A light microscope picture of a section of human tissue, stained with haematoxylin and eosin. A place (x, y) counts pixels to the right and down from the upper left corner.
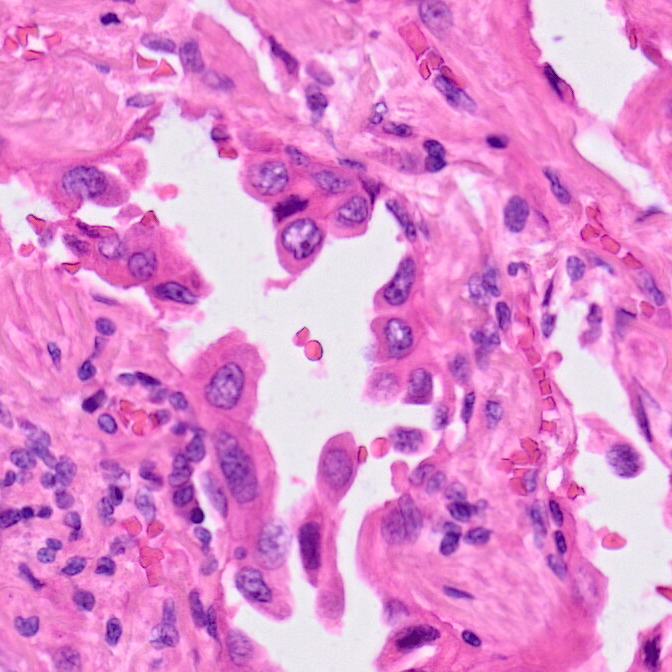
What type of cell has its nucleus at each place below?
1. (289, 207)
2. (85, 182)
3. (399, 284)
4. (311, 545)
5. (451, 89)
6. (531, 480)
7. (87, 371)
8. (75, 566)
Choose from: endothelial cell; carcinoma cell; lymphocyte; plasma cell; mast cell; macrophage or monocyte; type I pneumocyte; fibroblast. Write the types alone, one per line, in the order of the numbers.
carcinoma cell
carcinoma cell
carcinoma cell
carcinoma cell
endothelial cell
endothelial cell
lymphocyte
lymphocyte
